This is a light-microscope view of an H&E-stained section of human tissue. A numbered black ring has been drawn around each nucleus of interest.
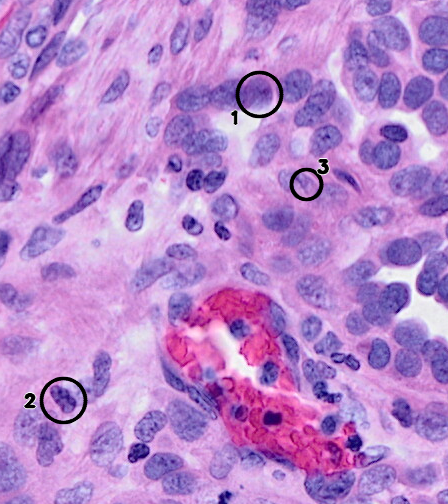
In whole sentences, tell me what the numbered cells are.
Cell 1 is a carcinoma cell, cell 2 is a lymphocyte and cell 3 is a fibroblast.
